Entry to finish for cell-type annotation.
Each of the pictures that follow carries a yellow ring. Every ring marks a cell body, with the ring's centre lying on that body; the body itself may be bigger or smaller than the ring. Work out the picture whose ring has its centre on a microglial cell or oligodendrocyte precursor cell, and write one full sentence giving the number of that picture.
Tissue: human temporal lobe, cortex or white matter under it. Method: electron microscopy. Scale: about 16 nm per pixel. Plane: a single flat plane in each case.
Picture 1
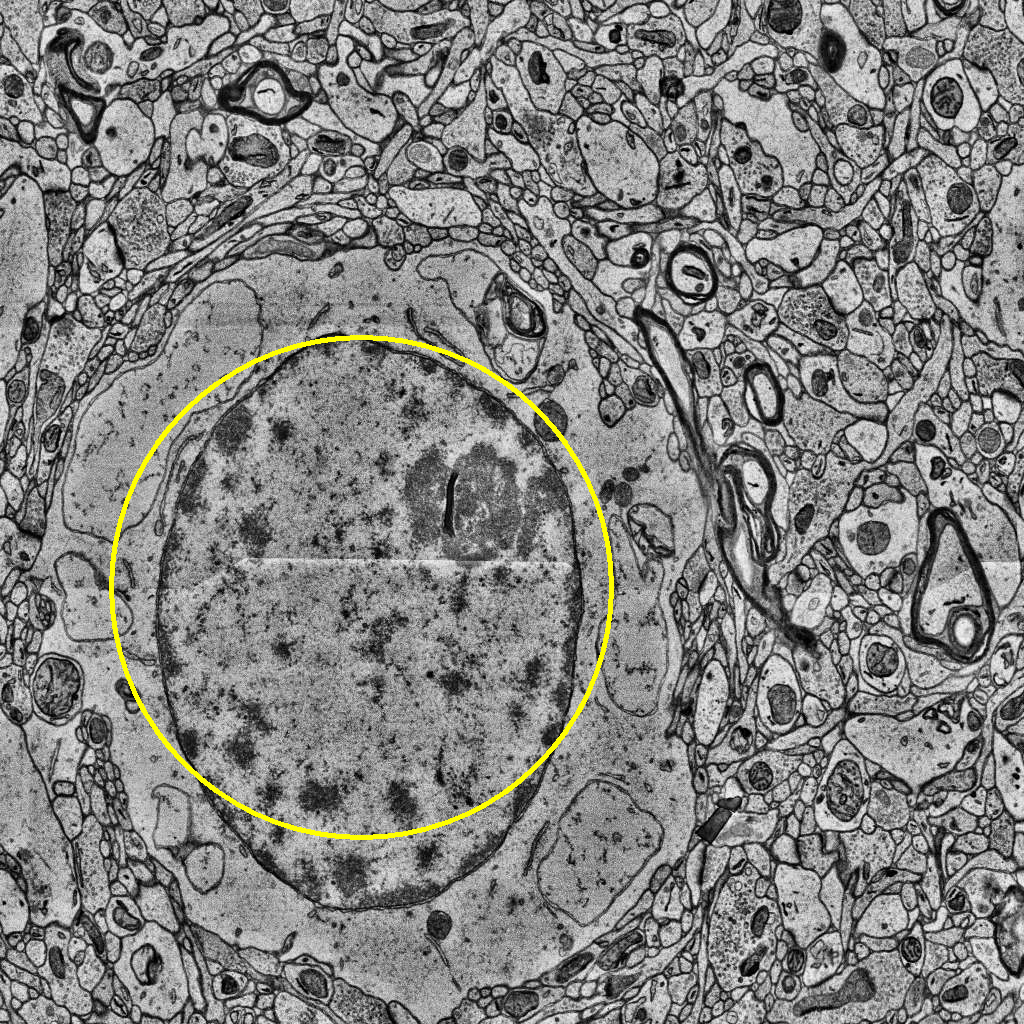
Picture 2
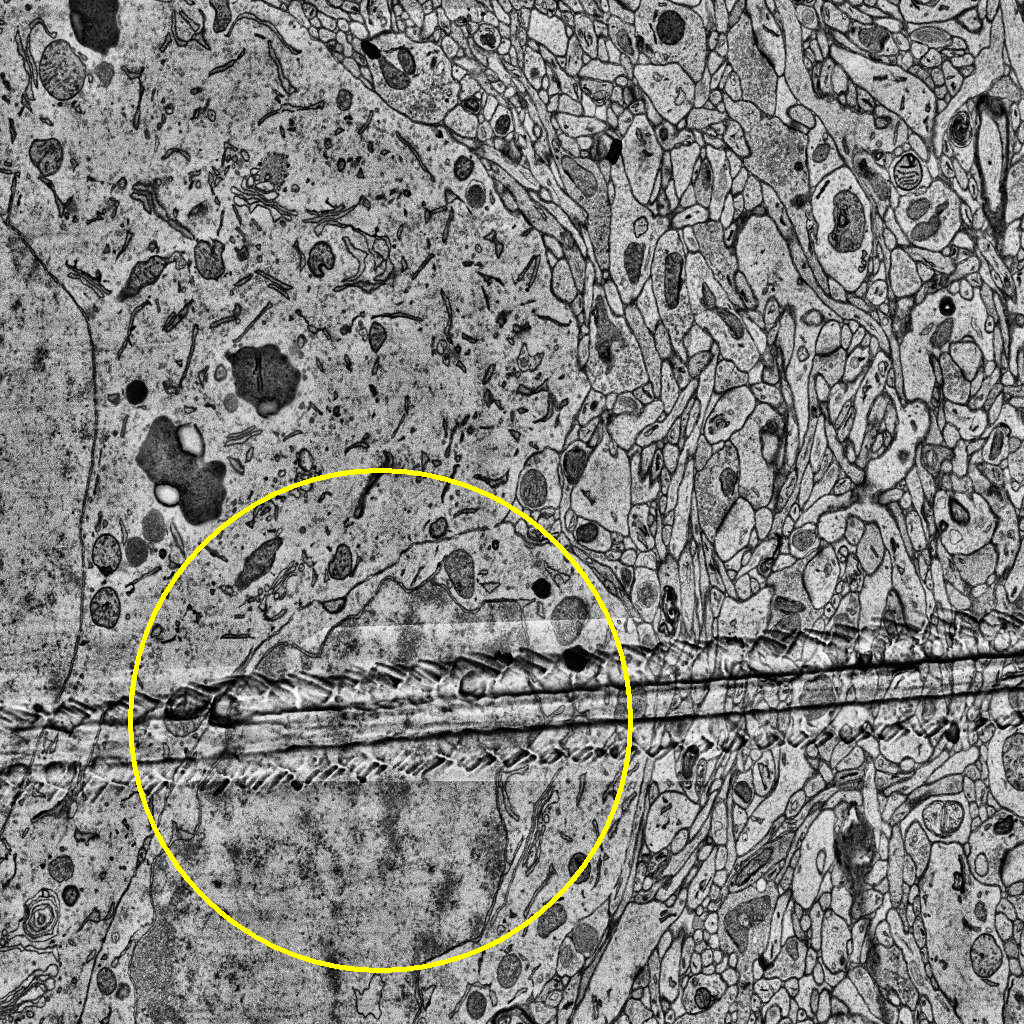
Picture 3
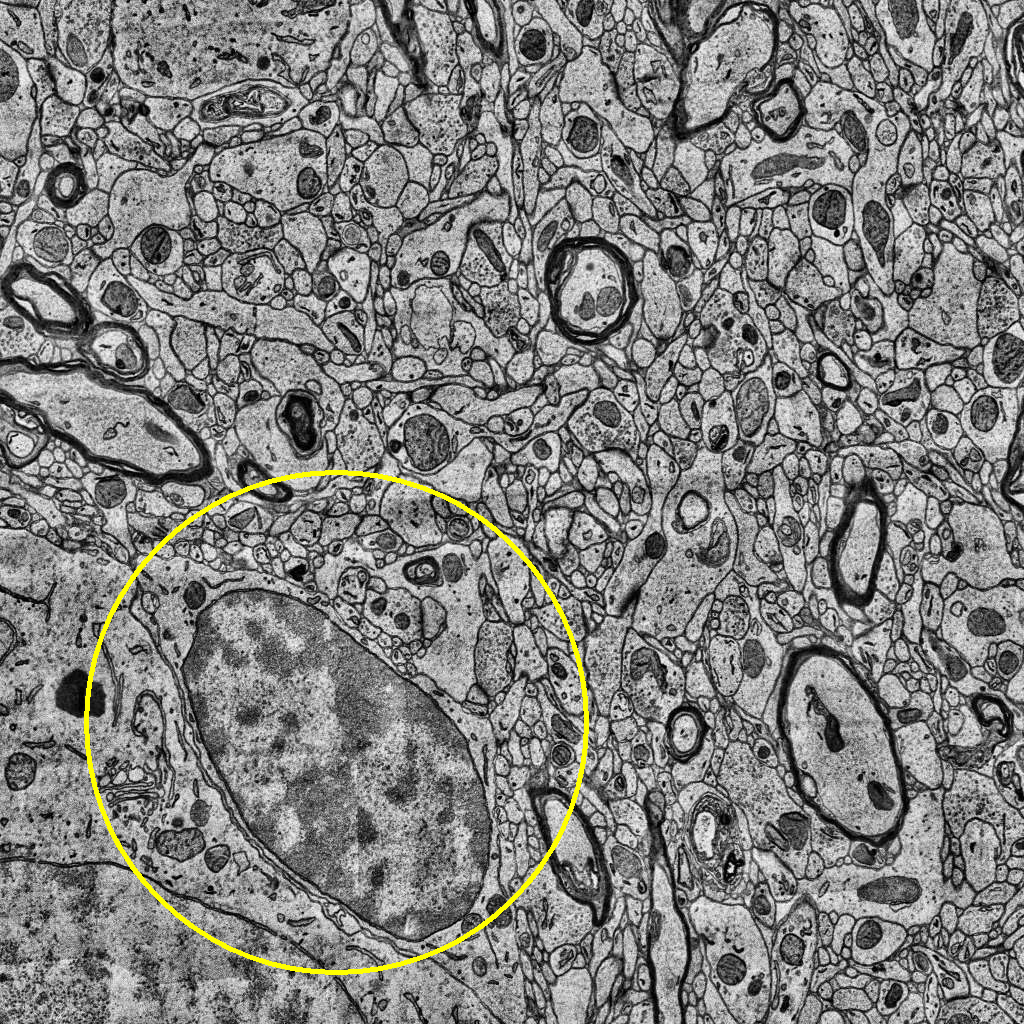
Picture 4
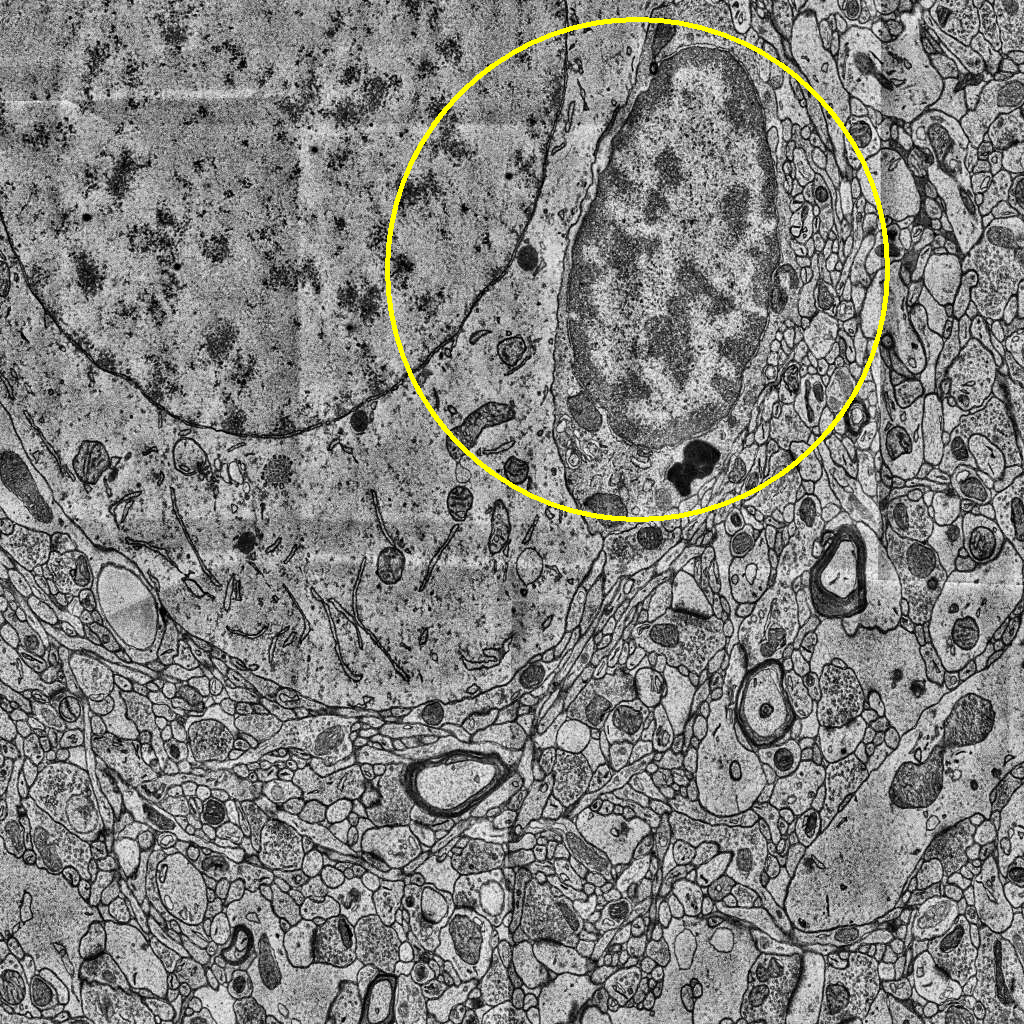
The cell lying at the ring's centre in picture 3 matches the request.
